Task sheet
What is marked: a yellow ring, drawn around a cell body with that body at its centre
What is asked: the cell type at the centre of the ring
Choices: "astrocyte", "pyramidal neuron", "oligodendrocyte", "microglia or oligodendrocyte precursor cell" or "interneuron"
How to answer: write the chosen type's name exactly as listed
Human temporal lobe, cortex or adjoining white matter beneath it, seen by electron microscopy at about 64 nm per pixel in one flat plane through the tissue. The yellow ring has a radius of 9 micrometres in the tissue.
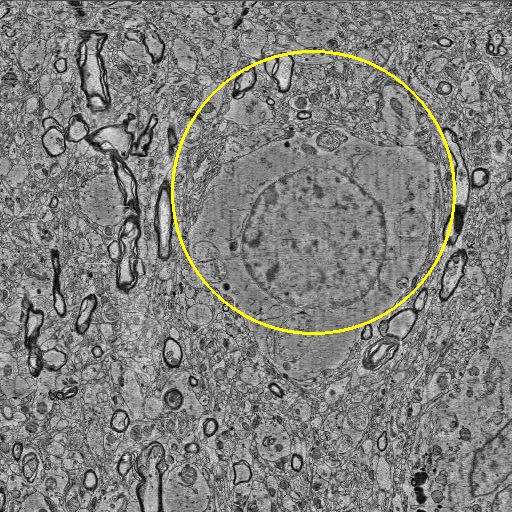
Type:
astrocyte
